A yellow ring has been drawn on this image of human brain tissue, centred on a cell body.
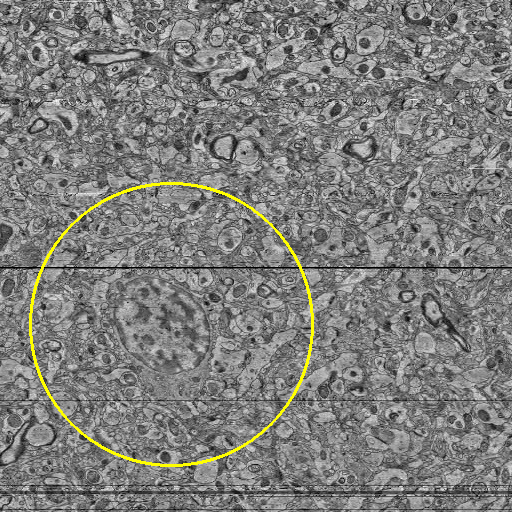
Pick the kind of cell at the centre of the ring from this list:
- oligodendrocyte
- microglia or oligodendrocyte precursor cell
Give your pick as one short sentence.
The centre of the ring holds an oligodendrocyte.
